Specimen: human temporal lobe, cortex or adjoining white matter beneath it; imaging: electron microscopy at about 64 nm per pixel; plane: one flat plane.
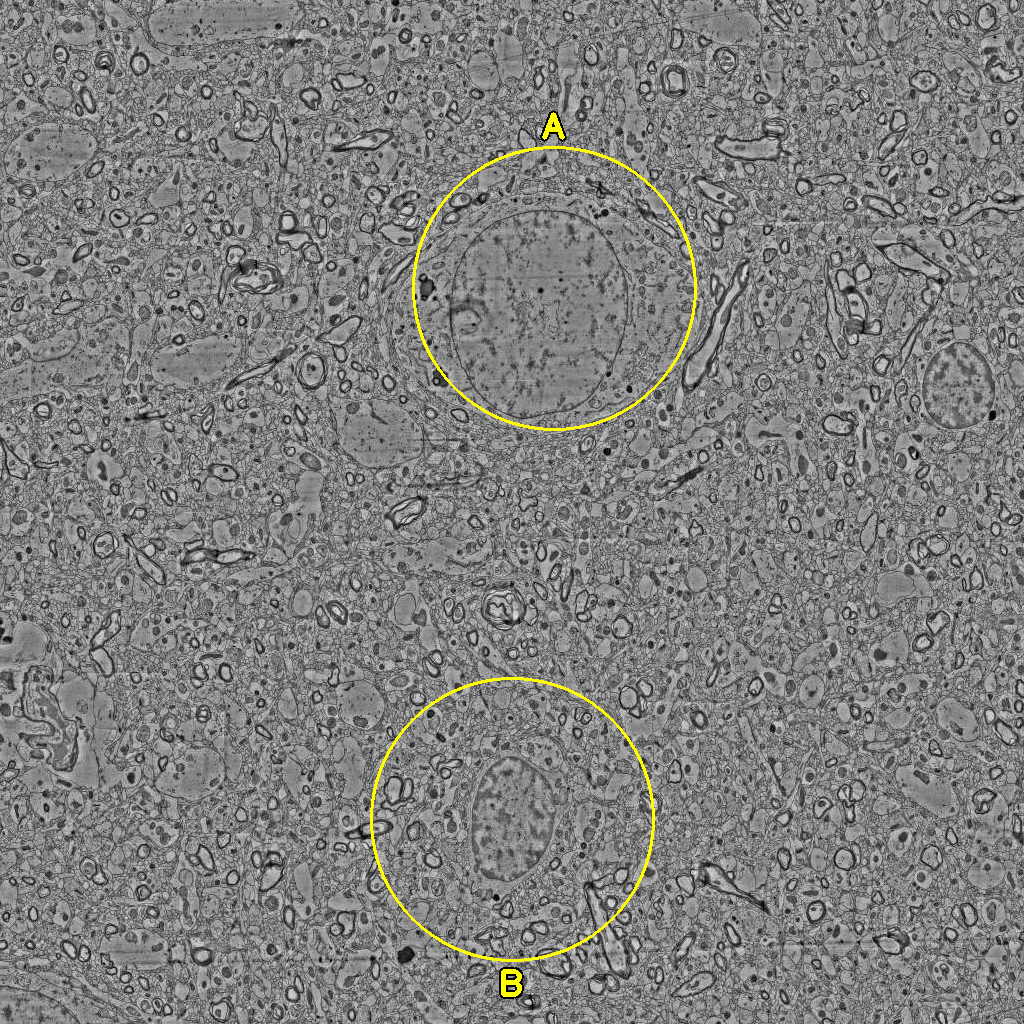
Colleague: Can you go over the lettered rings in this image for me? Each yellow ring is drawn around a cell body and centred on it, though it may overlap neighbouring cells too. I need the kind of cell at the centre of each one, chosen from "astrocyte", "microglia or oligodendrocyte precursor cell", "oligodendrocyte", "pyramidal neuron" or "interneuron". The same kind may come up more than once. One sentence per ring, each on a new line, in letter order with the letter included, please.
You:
Ring A marks the cell body of a pyramidal neuron.
Ring B marks the cell body of an oligodendrocyte.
